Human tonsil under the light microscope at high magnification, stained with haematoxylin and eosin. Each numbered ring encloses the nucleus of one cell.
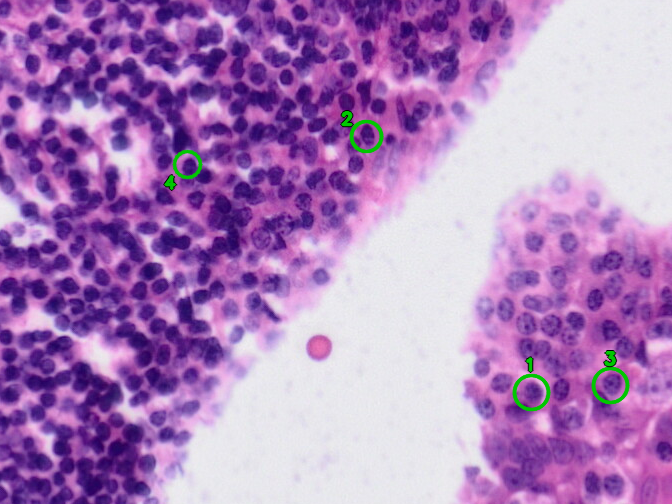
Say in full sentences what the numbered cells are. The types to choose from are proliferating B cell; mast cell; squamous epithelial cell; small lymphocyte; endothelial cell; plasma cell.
Cell 1 is a plasma cell, cell 2 is a plasma cell, cell 3 is a plasma cell and cell 4 is a small lymphocyte.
